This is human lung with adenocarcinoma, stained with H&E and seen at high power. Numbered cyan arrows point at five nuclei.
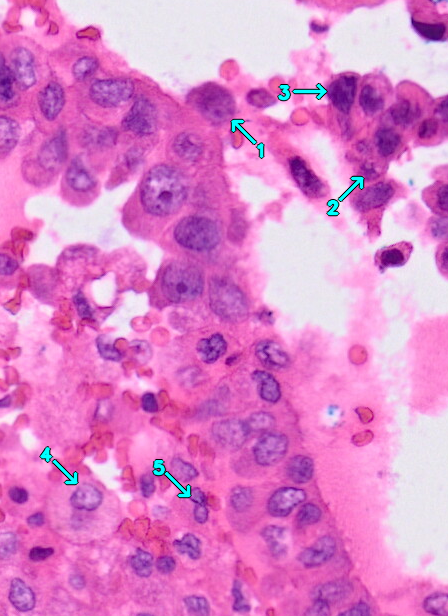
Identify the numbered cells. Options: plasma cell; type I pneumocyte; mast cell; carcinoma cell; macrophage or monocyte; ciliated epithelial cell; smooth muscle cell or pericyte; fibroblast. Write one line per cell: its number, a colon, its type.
1: carcinoma cell
2: carcinoma cell
3: carcinoma cell
4: macrophage or monocyte
5: macrophage or monocyte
